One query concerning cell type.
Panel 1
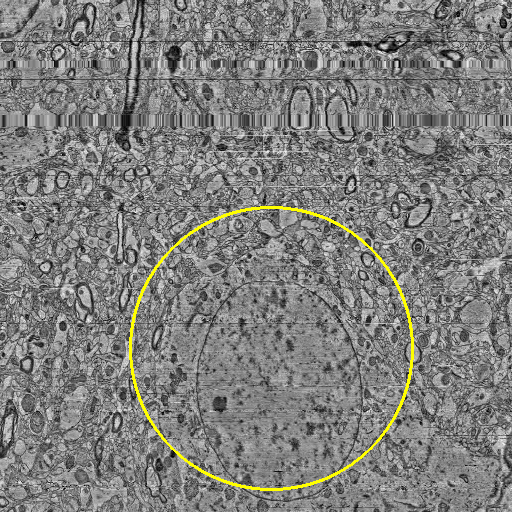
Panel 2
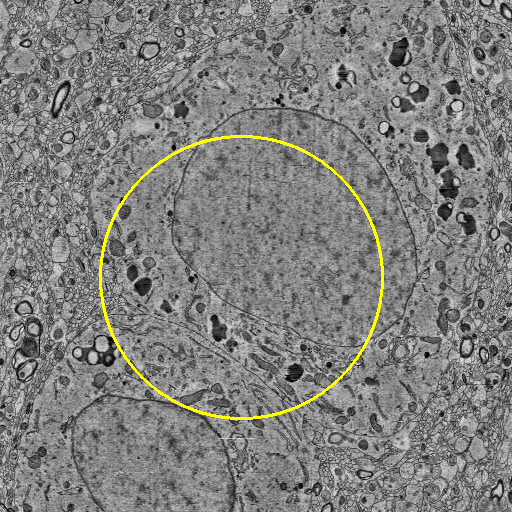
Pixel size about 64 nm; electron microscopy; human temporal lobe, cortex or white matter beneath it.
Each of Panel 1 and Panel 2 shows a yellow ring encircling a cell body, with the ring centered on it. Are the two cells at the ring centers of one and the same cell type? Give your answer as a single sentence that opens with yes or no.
Yes, the cell centered in Panel 1 and the one in Panel 2 share a type.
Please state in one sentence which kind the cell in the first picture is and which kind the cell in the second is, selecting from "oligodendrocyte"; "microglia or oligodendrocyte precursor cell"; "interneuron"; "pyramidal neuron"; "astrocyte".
Both the first and the second picture show a pyramidal neuron in the ring.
